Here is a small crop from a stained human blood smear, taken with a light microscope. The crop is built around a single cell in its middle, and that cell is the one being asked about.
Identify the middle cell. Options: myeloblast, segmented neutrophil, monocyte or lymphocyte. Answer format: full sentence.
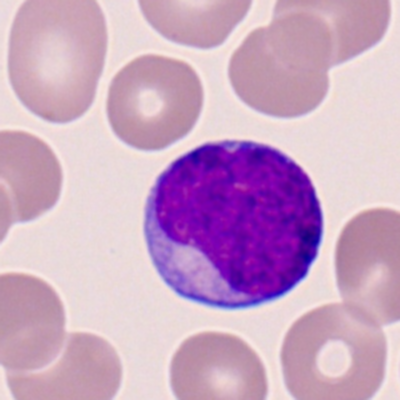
The middle cell in this particular crop is a myeloblast.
